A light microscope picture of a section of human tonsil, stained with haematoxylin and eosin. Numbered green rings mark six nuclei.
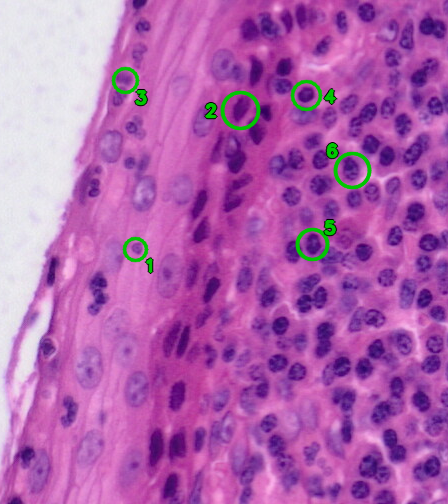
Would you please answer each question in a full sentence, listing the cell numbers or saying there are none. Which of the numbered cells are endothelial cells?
Honestly, none of the numbered cells are endothelial cells.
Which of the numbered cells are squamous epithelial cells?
In terms of cell type, cells 1, 2 and 3 are squamous epithelial cells.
